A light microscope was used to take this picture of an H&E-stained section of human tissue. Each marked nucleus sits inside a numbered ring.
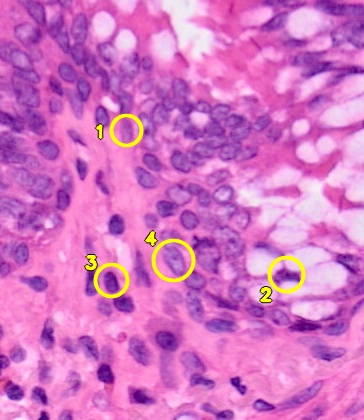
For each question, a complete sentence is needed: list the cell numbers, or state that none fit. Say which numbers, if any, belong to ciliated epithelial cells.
The cells assigned the numbers 1, 2 and 4 are ciliated epithelial cells.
